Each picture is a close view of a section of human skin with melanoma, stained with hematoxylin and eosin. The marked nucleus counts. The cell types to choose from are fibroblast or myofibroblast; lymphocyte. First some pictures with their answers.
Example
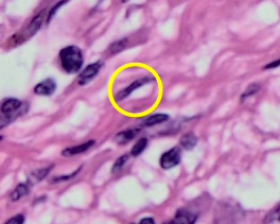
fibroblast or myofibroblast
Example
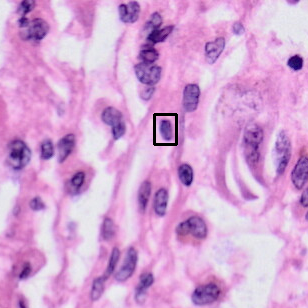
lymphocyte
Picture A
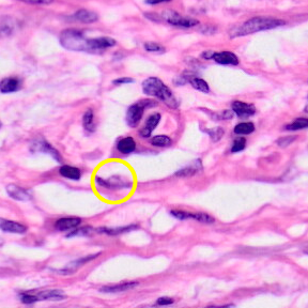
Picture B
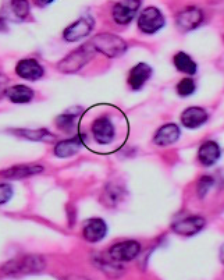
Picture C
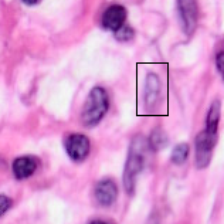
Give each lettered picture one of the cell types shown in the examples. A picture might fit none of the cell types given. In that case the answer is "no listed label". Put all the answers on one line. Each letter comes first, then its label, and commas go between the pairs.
A fibroblast or myofibroblast, B lymphocyte, C fibroblast or myofibroblast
